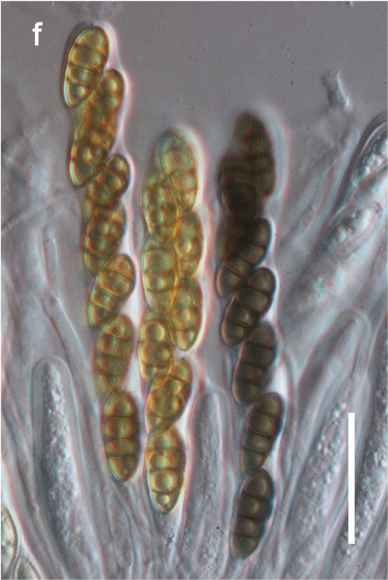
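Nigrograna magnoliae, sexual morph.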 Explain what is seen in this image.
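Elongate cylindrical asci stand side by side, three of them packed with a single or partly overlapping row of brown ascospores. The ascospores are ellipsoid to fusiform, with several transverse septa and pale to dark brown walls, while younger asci beside them are still hyaline with granular contents. Thin hyaline filaments run between the asci.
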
